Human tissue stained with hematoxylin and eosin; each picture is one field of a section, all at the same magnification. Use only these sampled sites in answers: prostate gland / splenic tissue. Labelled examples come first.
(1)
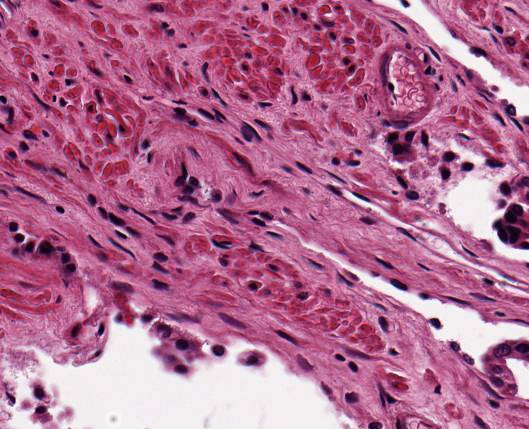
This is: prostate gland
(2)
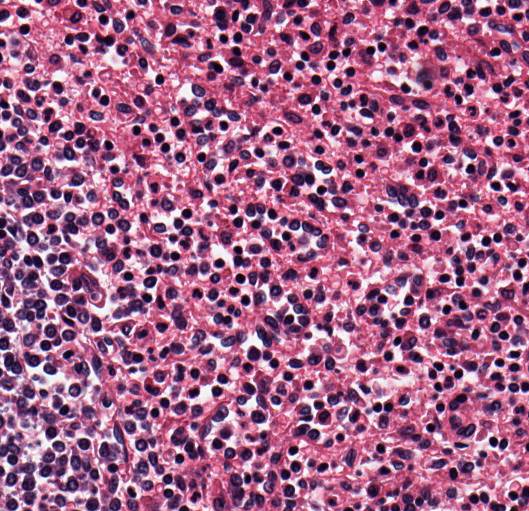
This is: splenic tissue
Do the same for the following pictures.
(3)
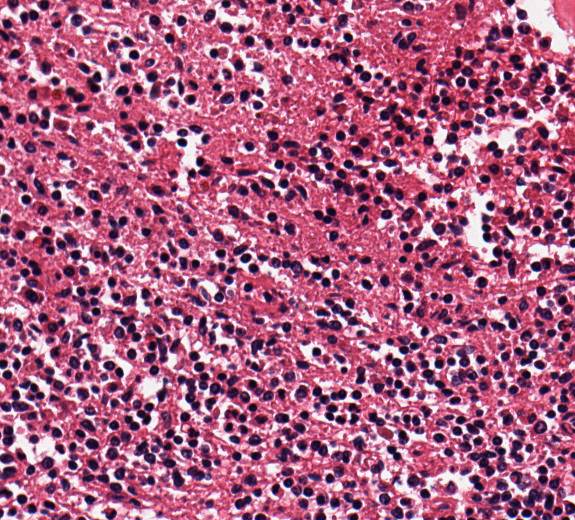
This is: splenic tissue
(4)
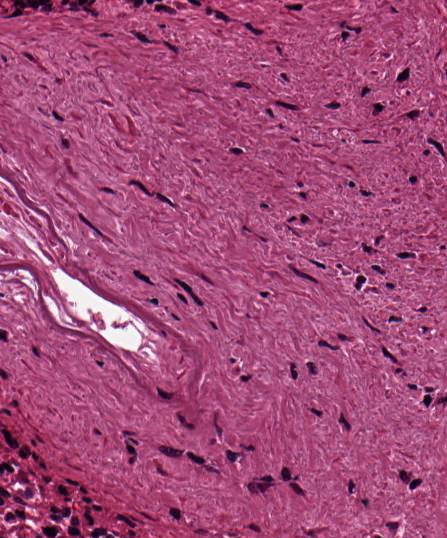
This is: splenic tissue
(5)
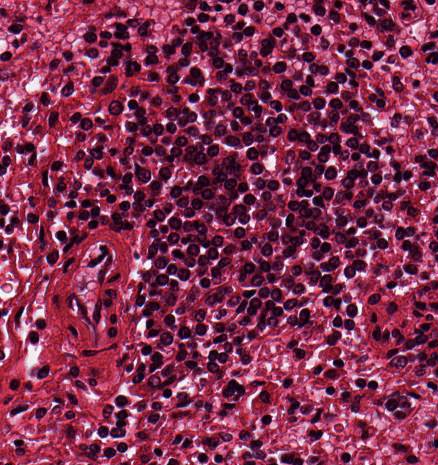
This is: splenic tissue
